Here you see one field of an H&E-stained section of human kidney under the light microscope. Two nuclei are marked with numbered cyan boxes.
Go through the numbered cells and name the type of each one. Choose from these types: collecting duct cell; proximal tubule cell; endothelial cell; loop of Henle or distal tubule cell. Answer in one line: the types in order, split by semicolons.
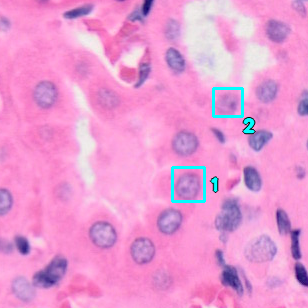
proximal tubule cell; loop of Henle or distal tubule cell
